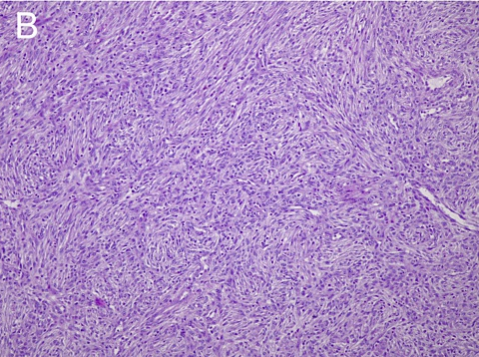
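This is a cellular tumor made of spindle cells packed closely together. They run in short, interlacing bundles and swirls. Their nuclei are elongated, purple and crowded, and they sit in pale pink fibrillary cytoplasm, with a few small vessels among them.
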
